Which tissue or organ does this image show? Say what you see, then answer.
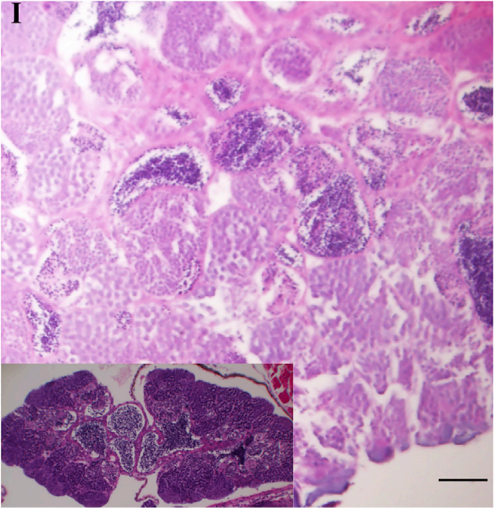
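The tissue is divided into many lobules or cysts. Pink-stained cells and stroma fill the spaces between the lobules. On this evidence: testis.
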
